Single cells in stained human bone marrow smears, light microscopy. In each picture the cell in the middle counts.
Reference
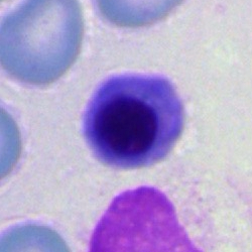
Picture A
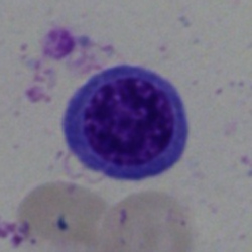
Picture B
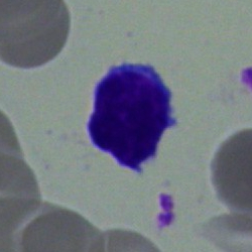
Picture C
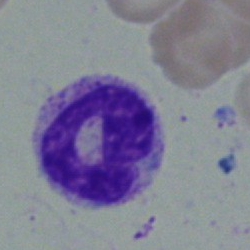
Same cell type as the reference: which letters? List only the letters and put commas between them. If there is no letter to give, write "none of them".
A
